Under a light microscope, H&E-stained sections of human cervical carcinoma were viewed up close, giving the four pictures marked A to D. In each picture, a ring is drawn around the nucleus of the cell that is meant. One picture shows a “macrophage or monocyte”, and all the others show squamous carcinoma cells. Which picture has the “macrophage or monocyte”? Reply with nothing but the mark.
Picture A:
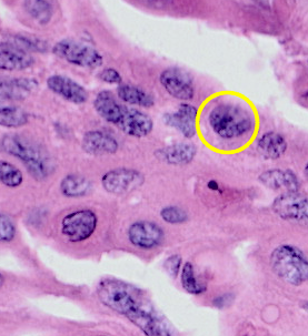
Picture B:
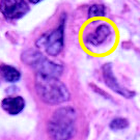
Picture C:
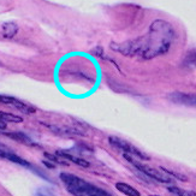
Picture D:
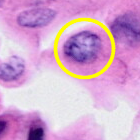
B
